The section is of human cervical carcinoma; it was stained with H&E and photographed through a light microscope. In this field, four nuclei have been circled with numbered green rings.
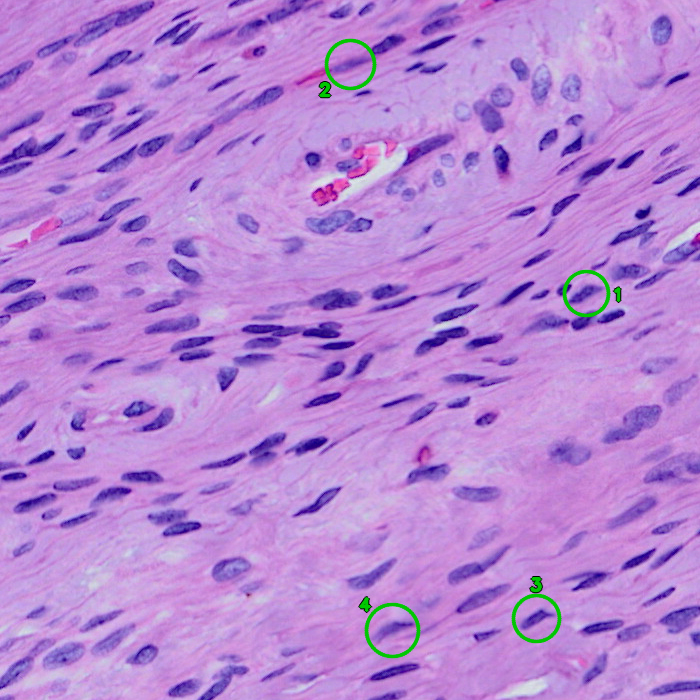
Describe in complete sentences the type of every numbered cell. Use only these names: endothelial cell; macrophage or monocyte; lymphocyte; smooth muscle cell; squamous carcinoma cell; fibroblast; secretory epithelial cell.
Cells 1, 3 and 4 are fibroblasts. Cell 2 is an endothelial cell.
